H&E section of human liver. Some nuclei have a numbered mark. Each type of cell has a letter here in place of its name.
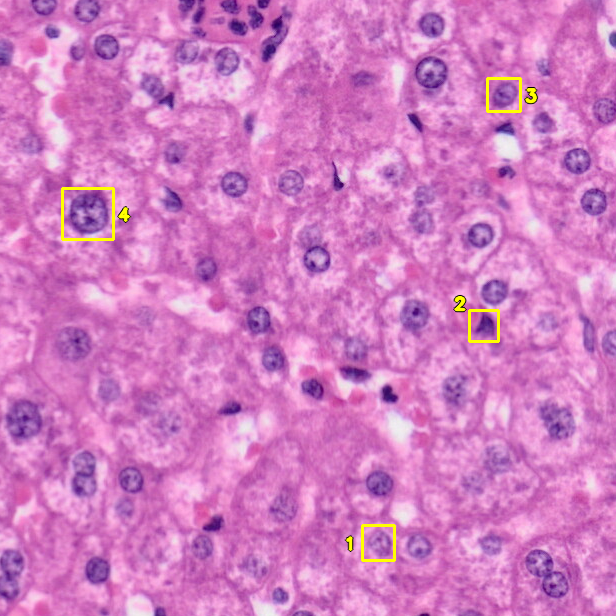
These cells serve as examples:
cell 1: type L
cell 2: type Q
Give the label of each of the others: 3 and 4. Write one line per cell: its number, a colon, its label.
3: type L
4: type L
